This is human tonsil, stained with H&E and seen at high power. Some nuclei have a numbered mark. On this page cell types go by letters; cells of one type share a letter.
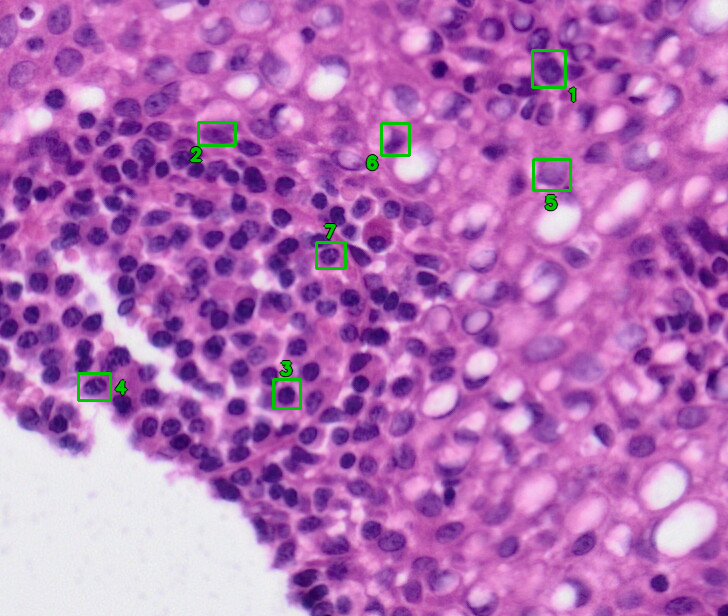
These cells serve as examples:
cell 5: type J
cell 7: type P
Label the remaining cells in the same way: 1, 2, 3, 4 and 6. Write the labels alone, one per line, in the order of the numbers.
type J
type J
type P
type P
type J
